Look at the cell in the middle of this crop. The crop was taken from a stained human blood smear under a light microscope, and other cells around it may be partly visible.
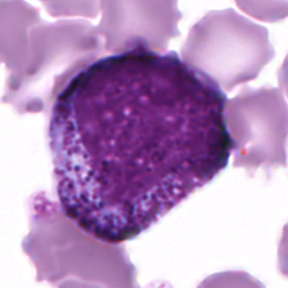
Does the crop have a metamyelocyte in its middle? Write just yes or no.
no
